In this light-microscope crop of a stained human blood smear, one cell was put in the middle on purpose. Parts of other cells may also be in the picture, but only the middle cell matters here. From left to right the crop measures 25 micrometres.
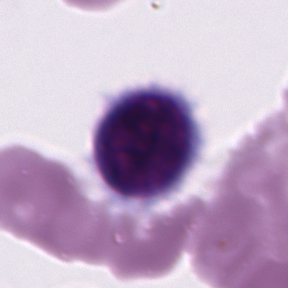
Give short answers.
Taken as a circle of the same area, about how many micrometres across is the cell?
10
